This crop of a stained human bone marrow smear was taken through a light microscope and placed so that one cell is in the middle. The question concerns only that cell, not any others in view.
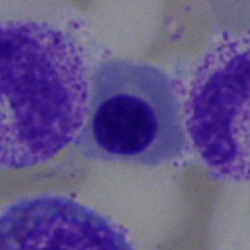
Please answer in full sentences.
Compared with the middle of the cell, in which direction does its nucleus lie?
The nucleus is pushed toward the lower left of the cell.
